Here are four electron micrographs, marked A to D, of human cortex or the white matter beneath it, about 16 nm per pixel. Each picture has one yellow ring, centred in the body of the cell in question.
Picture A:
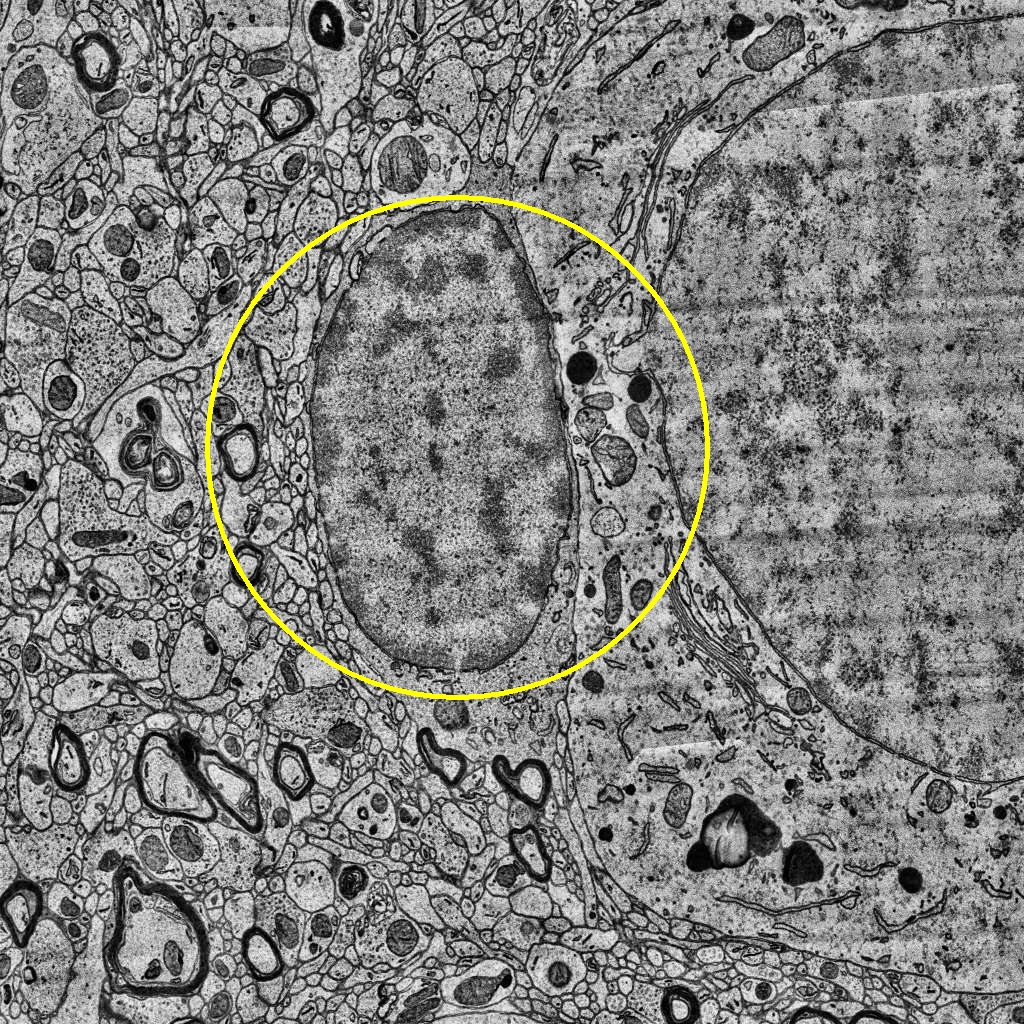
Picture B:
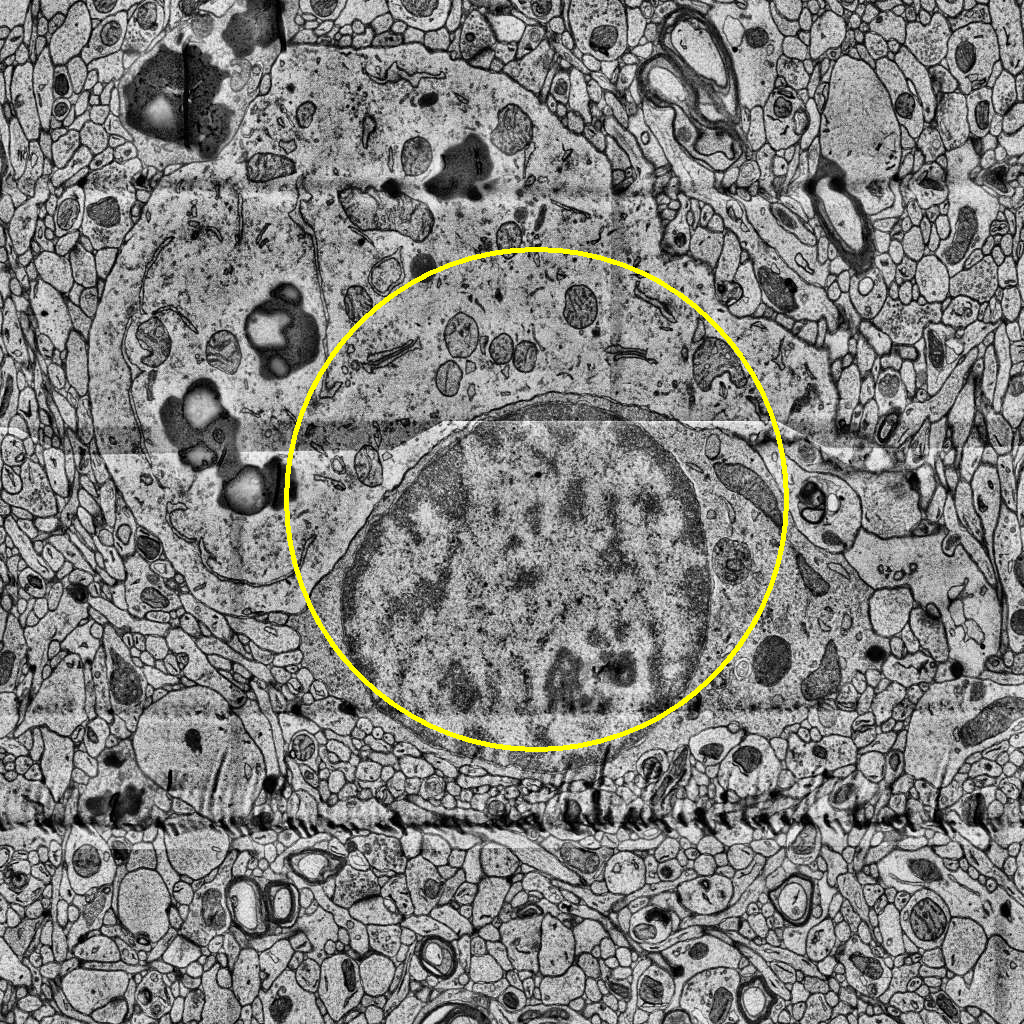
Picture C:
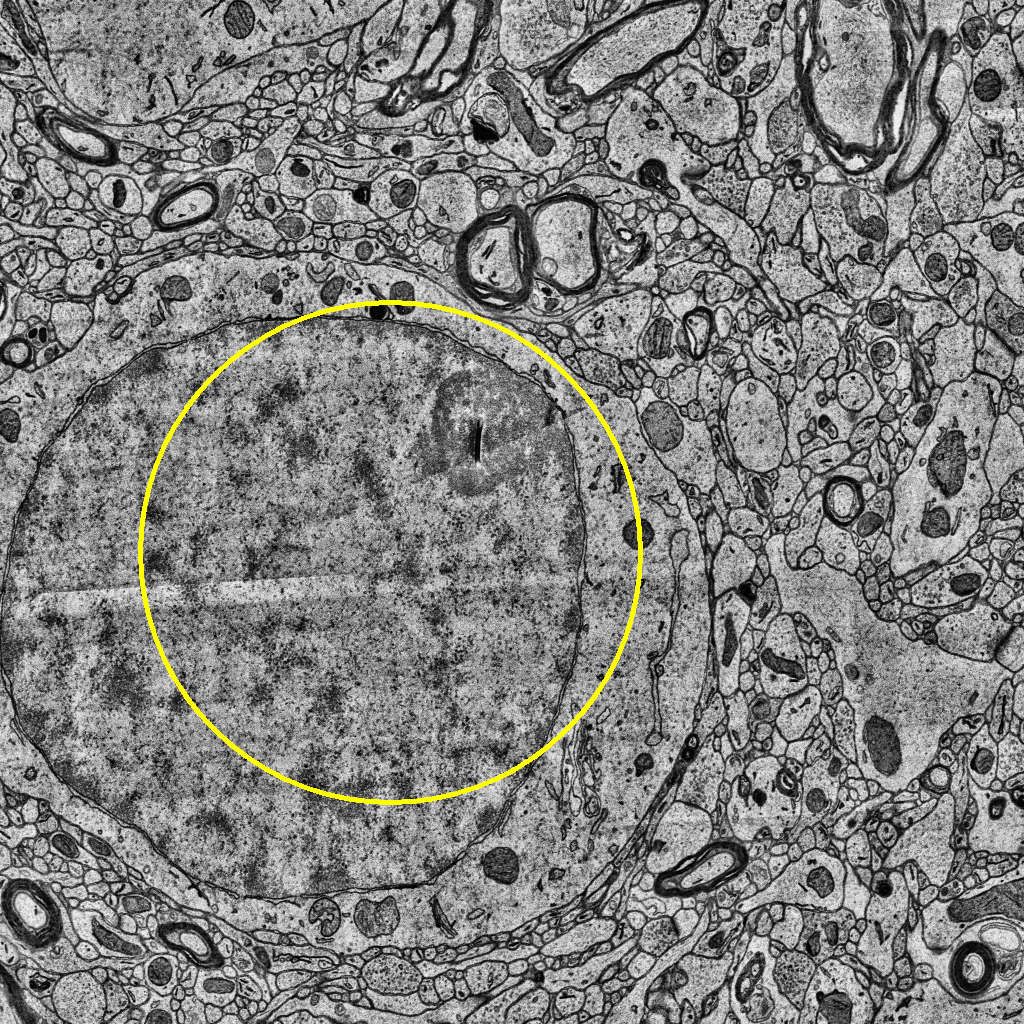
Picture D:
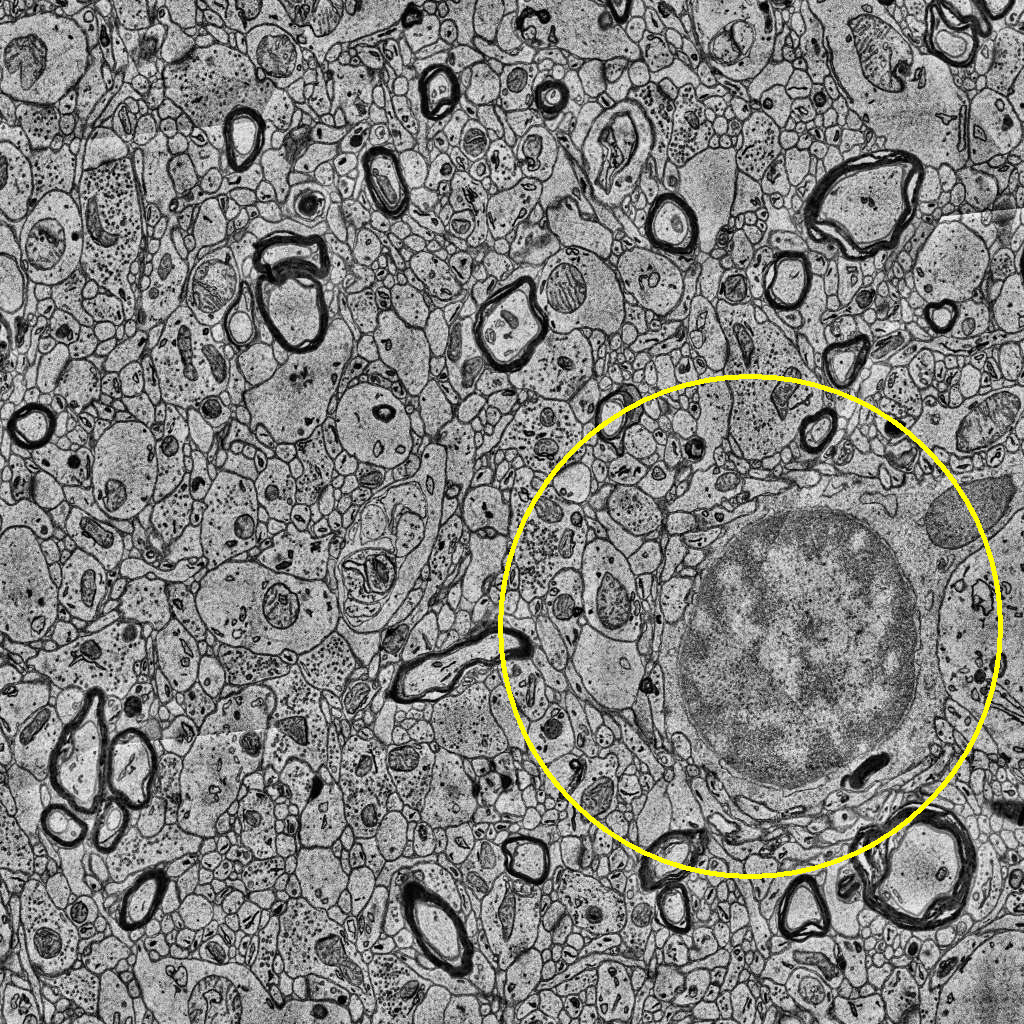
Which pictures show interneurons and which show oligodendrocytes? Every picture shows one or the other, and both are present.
Picture C shows an interneuron, and pictures A, B and D show oligodendrocytes.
